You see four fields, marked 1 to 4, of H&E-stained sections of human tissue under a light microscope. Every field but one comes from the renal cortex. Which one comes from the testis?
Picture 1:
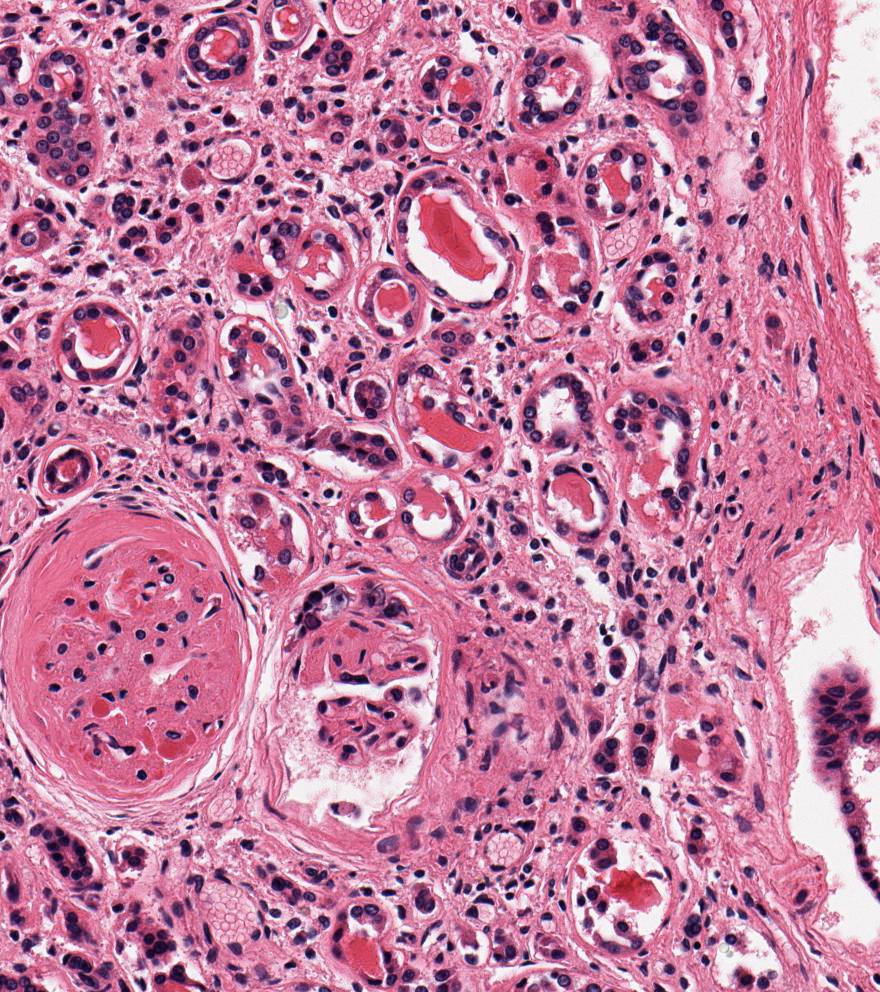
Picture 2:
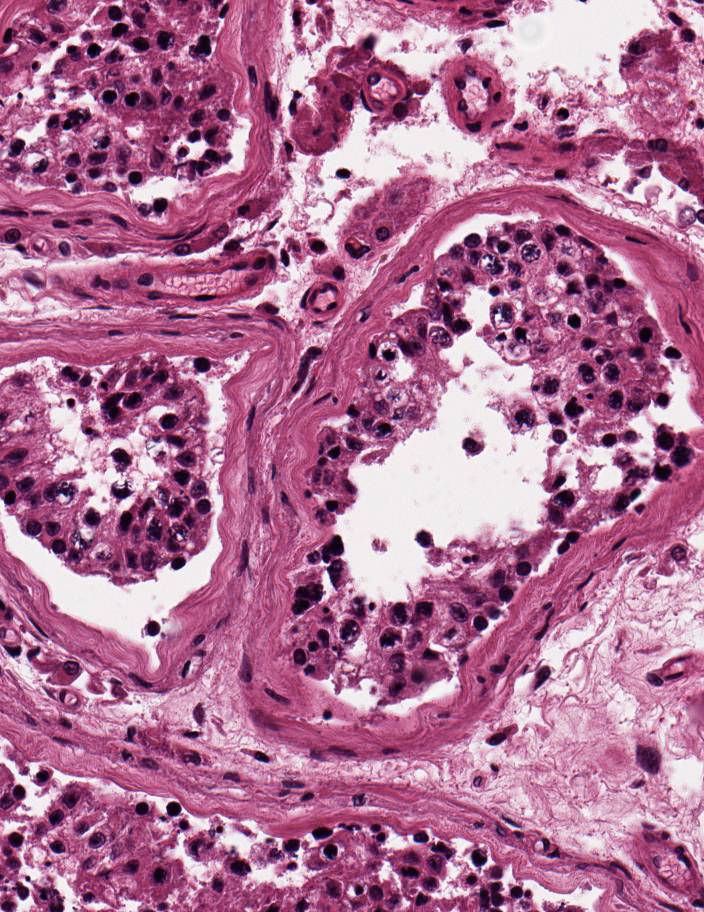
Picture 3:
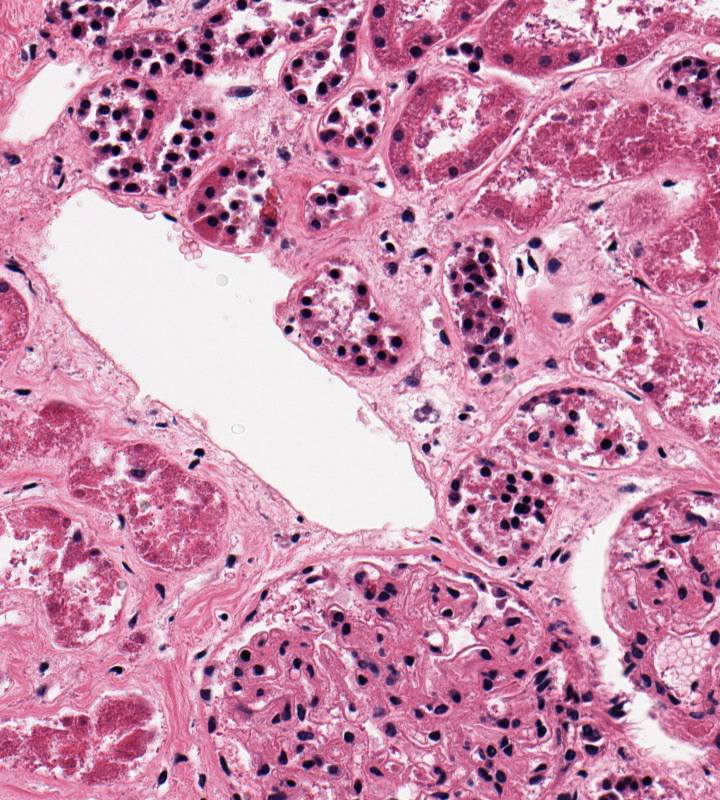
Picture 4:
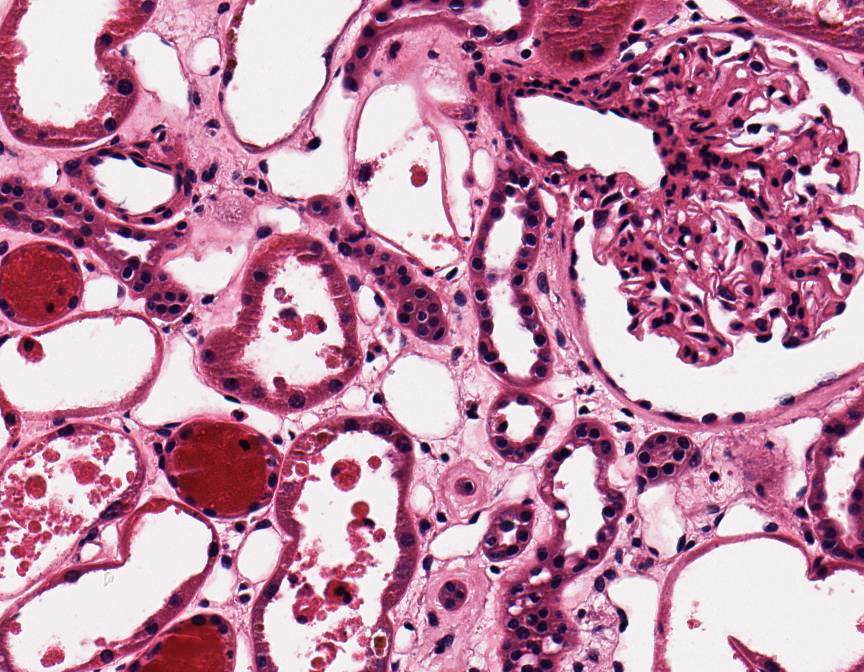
2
